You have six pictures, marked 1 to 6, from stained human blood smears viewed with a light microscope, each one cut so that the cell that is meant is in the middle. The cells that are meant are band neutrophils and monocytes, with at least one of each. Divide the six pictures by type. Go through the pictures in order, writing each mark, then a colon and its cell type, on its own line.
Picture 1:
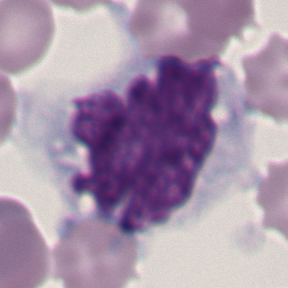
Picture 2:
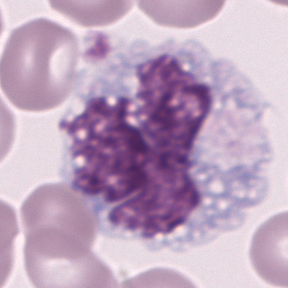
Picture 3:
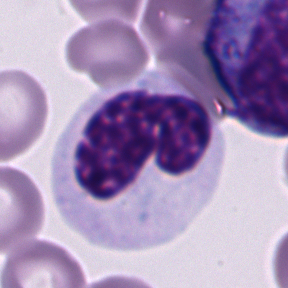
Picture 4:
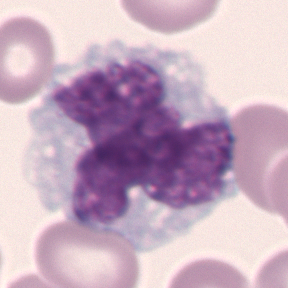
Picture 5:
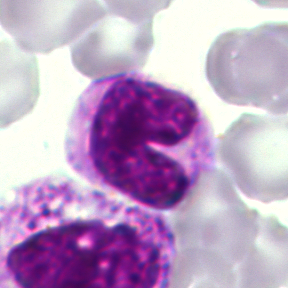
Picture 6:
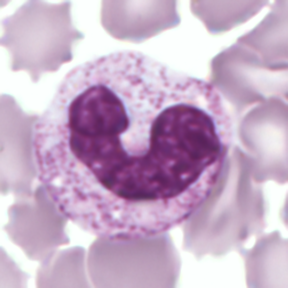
1: monocyte
2: monocyte
3: band neutrophil
4: monocyte
5: band neutrophil
6: band neutrophil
